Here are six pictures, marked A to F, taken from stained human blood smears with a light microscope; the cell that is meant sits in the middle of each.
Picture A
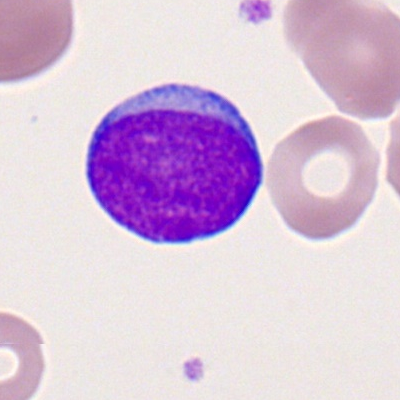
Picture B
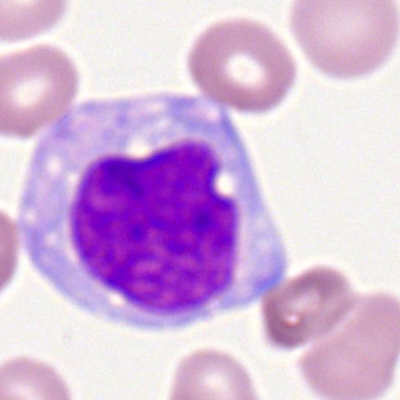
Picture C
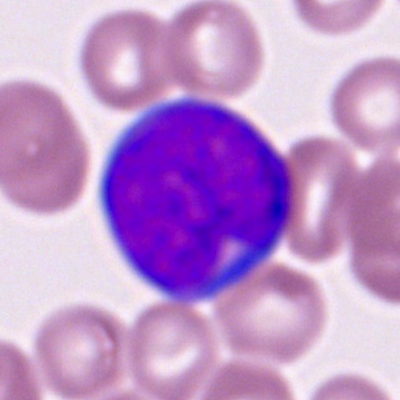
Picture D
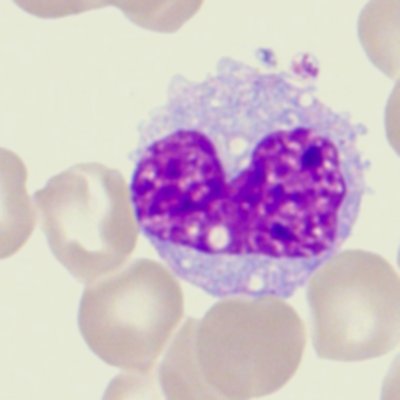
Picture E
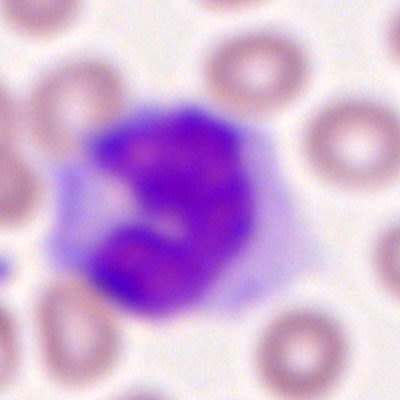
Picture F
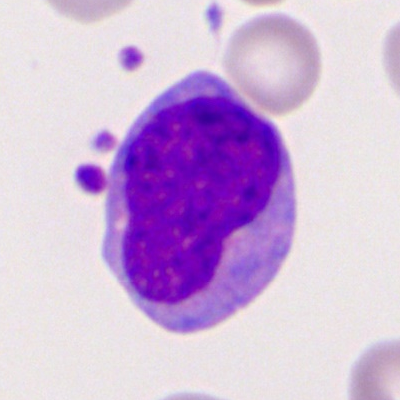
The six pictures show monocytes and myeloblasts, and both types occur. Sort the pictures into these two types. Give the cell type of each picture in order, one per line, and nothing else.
myeloblast
monocyte
myeloblast
monocyte
monocyte
myeloblast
